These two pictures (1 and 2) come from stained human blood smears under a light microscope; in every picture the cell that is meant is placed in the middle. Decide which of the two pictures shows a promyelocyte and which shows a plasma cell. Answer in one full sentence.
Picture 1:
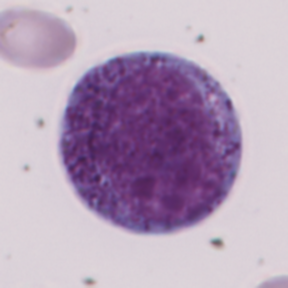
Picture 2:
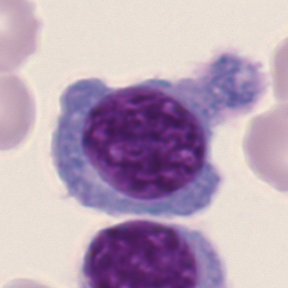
In picture 1 the cell is a promyelocyte; in picture 2, a plasma cell.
